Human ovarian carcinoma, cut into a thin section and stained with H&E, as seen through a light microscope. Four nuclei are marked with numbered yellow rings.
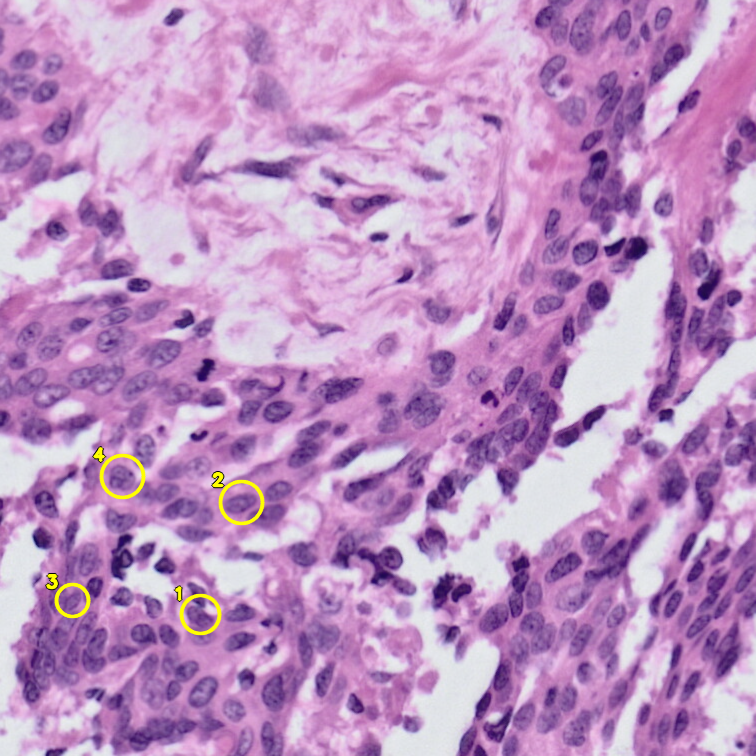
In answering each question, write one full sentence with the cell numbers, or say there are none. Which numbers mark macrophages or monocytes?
Response: cell 4 is a macrophage or monocyte, and no other numbered cell is.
